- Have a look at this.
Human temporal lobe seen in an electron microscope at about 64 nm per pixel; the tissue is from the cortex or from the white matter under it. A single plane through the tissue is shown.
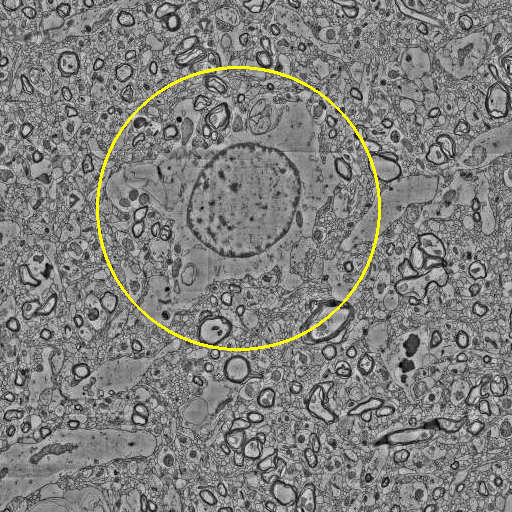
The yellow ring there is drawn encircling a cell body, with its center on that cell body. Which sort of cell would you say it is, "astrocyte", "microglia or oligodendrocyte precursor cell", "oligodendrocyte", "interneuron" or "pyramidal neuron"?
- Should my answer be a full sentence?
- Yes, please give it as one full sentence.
For this picture, an astrocyte is the cell where the yellow ring has its center.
